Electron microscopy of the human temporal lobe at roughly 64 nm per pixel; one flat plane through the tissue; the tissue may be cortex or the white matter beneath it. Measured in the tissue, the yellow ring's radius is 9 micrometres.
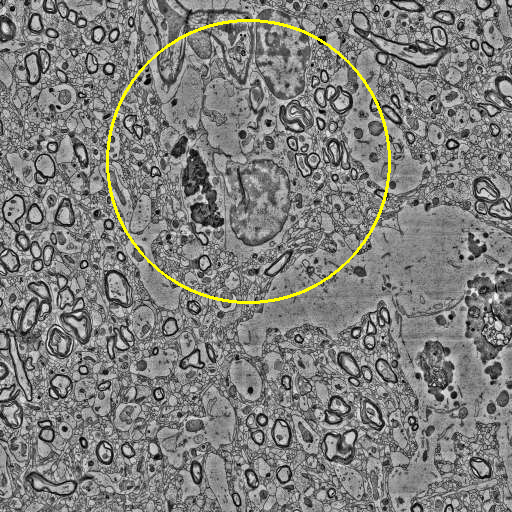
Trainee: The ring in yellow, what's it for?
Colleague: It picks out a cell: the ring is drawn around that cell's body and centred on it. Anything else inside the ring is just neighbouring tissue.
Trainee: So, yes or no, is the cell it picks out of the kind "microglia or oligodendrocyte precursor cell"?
no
